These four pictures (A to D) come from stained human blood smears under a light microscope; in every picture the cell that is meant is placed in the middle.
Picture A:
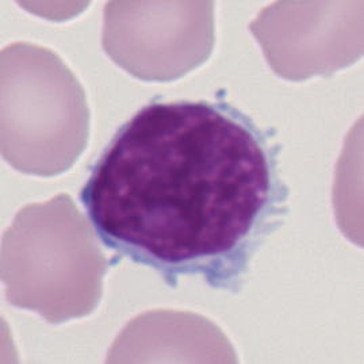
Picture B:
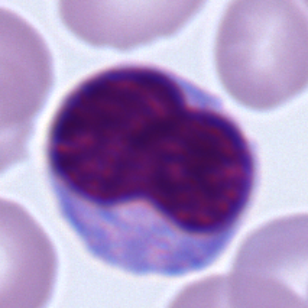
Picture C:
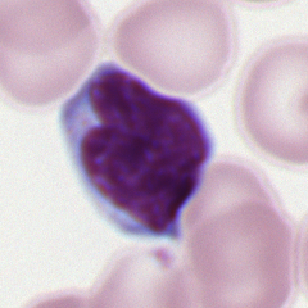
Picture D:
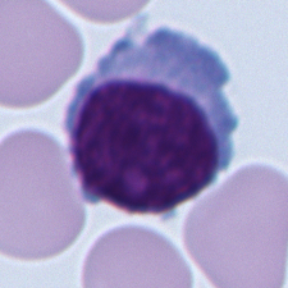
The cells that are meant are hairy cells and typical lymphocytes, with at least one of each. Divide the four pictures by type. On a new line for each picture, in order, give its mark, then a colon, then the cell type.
A: hairy cell
B: typical lymphocyte
C: typical lymphocyte
D: typical lymphocyte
